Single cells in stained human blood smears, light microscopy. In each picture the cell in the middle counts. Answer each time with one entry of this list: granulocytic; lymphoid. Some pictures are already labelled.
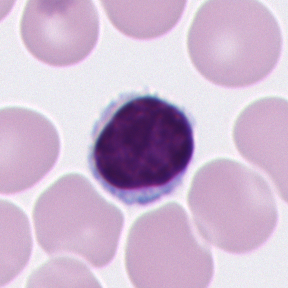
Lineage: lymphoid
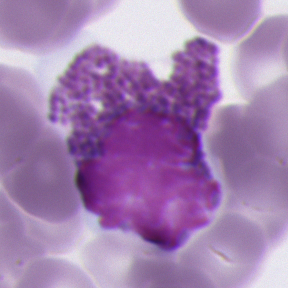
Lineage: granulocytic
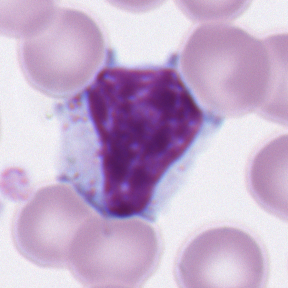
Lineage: lymphoid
